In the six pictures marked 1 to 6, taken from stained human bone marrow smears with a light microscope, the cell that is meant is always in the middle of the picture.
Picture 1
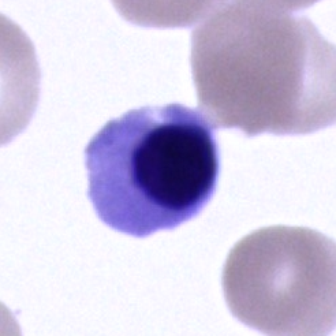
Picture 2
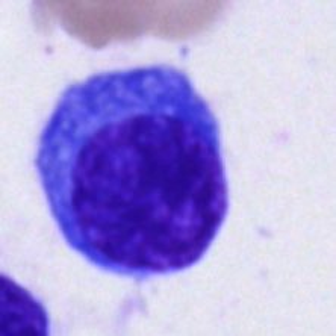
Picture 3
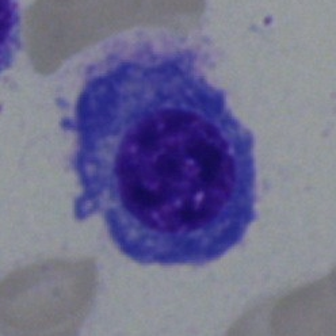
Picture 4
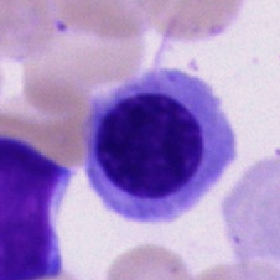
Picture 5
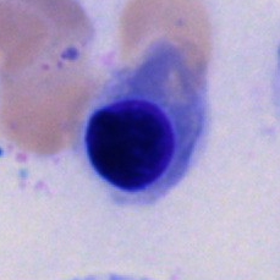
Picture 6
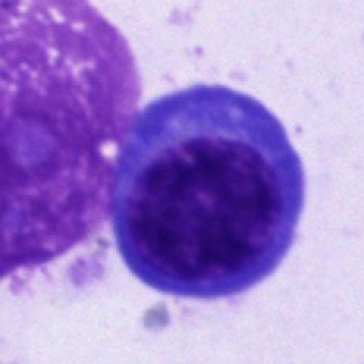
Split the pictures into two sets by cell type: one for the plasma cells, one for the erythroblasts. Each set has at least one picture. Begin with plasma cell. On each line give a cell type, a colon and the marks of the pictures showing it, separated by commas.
plasma cell: 2, 3
erythroblast: 1, 4, 5, 6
